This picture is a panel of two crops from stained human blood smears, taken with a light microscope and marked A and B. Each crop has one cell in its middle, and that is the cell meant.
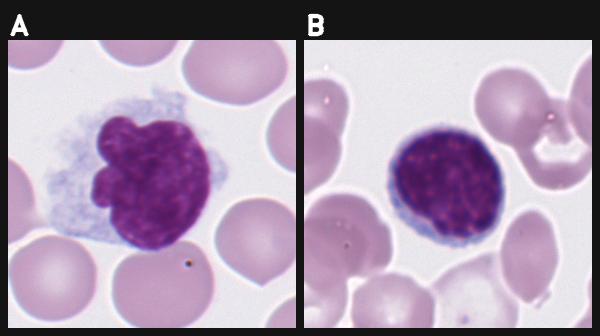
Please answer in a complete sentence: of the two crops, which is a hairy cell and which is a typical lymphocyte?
Crop A is a hairy cell and crop B is a typical lymphocyte.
